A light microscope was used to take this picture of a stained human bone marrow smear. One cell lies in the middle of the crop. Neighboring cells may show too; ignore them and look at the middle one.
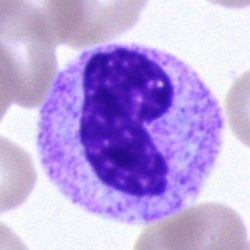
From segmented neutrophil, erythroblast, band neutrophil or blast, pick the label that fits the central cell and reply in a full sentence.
Positioned in the middle of the crop is a band neutrophil.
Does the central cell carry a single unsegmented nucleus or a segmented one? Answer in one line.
The nucleus is one compact mass, round, oval or kidney-shaped in outline.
